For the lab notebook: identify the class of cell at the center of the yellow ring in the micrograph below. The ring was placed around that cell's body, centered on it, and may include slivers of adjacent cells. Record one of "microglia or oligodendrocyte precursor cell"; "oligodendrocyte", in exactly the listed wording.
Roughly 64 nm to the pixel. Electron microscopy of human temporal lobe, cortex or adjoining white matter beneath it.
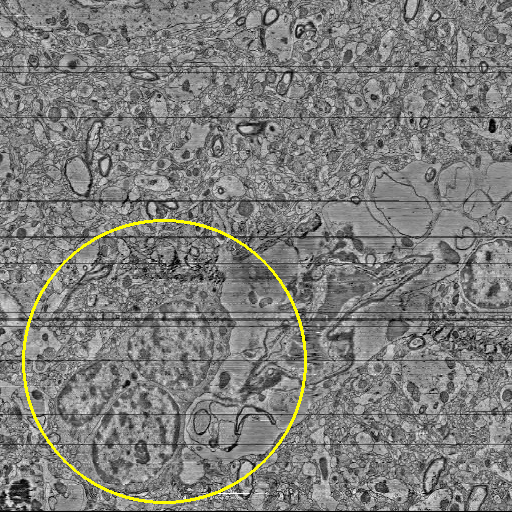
oligodendrocyte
